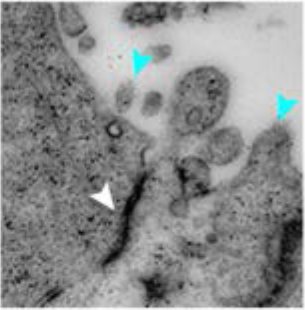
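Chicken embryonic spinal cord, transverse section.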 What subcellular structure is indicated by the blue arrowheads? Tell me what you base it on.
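Small finger-like projections of the apical membrane stick into the pale lumen. The answer: microvilli.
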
